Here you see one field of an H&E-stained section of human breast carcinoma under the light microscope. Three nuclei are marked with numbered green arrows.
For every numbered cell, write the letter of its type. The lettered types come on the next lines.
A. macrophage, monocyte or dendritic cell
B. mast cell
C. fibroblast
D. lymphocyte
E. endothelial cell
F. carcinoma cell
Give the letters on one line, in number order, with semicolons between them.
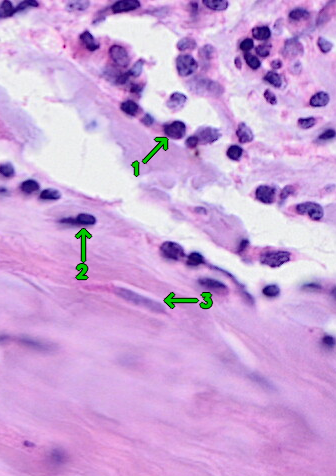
D; D; C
